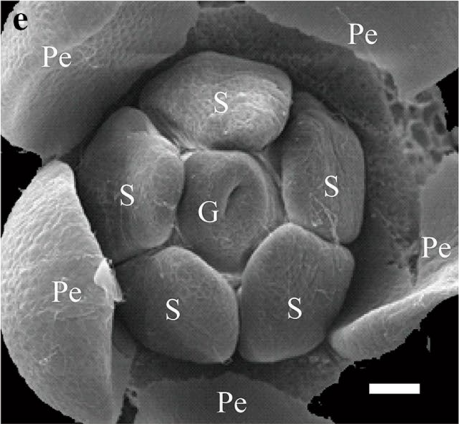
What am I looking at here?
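A later flower bud seen from above shows five enlarged, angular stamens packed tightly around a central gynoecium that bears a small central depression. Parts of the larger petals lie around the edge, folded outward from the stamens.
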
